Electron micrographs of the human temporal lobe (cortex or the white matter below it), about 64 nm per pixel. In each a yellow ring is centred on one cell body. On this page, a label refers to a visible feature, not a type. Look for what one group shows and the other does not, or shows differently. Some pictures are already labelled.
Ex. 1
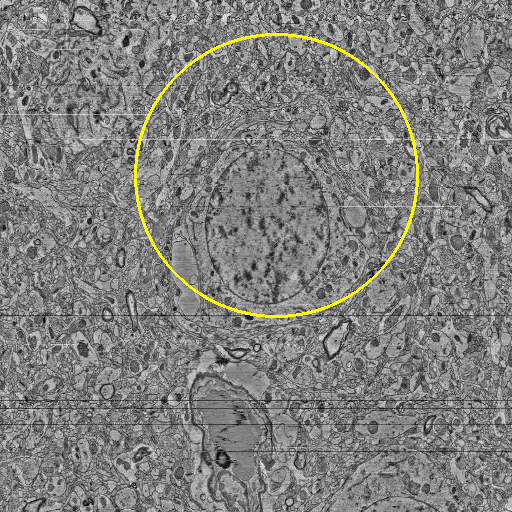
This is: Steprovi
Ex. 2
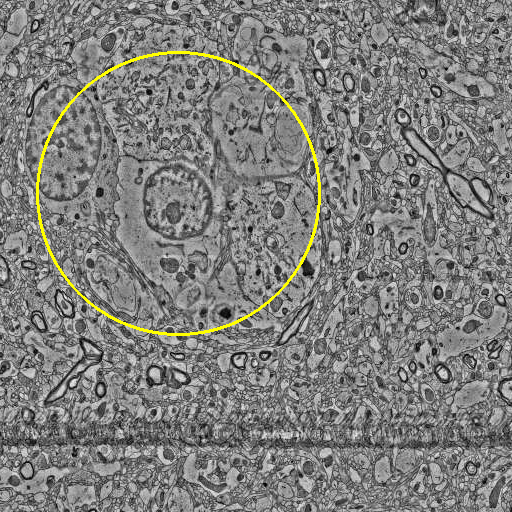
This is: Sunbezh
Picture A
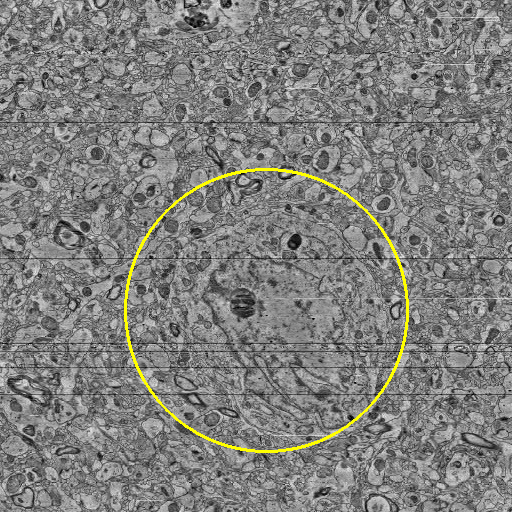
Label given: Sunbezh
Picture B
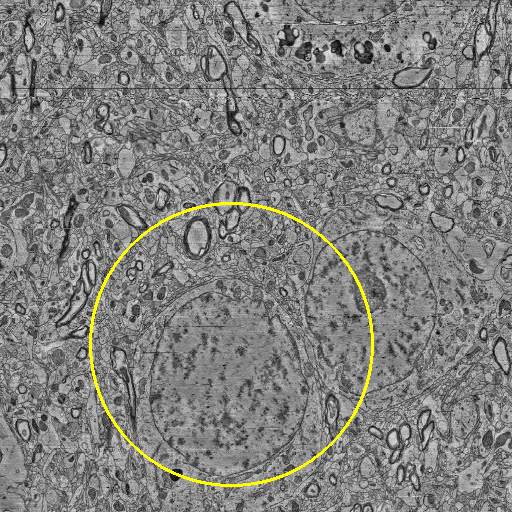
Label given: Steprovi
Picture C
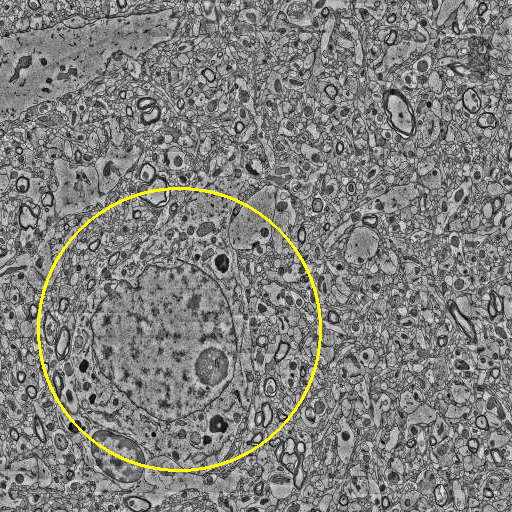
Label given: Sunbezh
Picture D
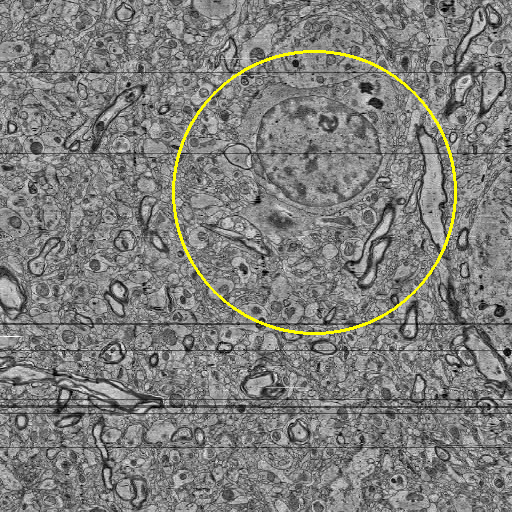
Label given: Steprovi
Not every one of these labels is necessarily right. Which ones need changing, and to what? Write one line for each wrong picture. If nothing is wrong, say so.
Wrong: D (Steprovi); correct: Sunbezh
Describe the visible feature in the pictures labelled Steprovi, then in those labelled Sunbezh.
In Steprovi: no nucleolus seen. In Sunbezh: nucleolus seen.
